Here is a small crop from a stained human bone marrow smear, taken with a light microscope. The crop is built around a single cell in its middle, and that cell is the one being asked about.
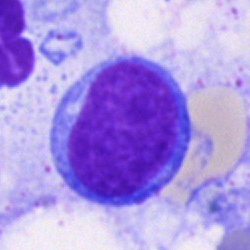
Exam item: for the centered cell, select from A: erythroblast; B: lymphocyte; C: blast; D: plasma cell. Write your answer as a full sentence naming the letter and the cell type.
Option C is right in identifying the central cell as a blast.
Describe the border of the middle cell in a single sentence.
Its surface contour is regular and smooth, without any protrusions.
